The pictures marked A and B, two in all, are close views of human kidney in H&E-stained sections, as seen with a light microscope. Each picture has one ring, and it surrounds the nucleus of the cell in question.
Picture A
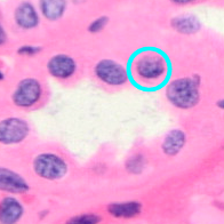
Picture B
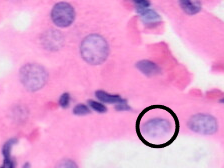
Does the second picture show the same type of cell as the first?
yes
